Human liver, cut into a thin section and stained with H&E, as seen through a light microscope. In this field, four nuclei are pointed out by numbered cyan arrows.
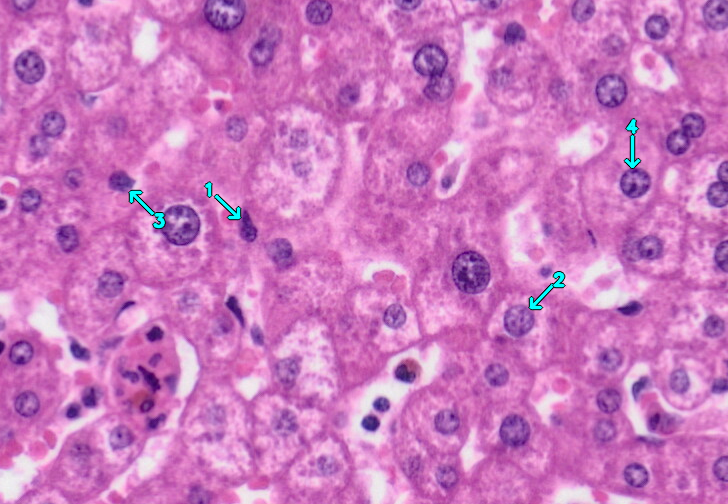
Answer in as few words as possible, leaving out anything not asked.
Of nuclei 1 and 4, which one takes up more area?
4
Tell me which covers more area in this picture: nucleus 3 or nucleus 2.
2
